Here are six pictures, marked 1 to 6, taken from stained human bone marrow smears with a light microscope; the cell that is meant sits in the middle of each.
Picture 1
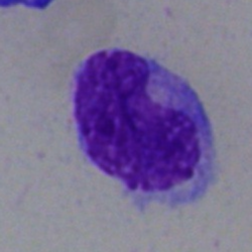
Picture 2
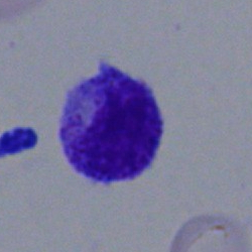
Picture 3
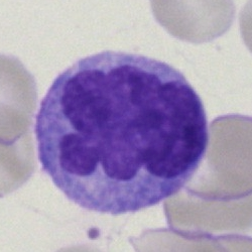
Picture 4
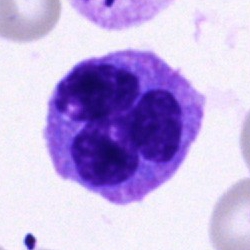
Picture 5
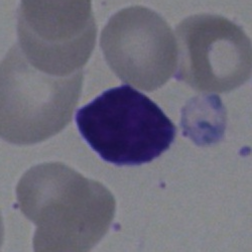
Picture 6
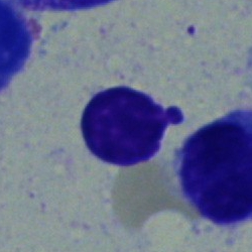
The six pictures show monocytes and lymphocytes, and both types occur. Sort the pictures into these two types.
1: monocyte
2: lymphocyte
3: monocyte
4: monocyte
5: lymphocyte
6: lymphocyte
